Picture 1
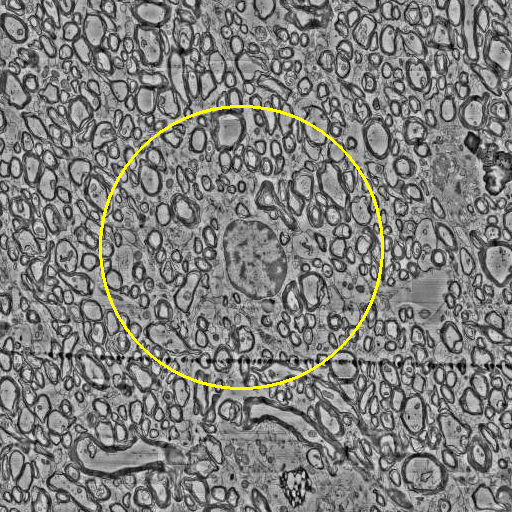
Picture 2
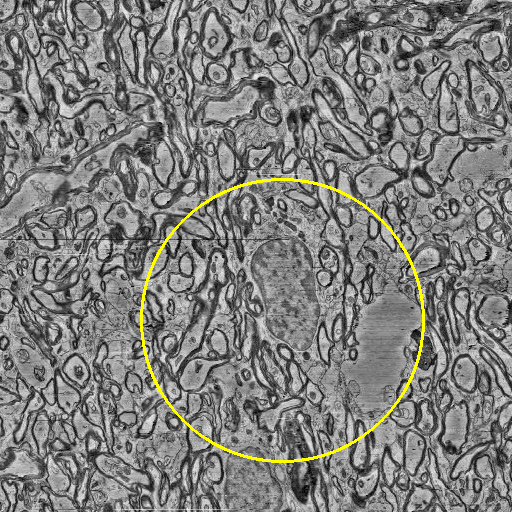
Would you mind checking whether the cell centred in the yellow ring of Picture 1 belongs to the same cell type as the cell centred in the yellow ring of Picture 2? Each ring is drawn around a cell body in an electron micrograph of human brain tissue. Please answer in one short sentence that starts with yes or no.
Yes, both cells are of the same type.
